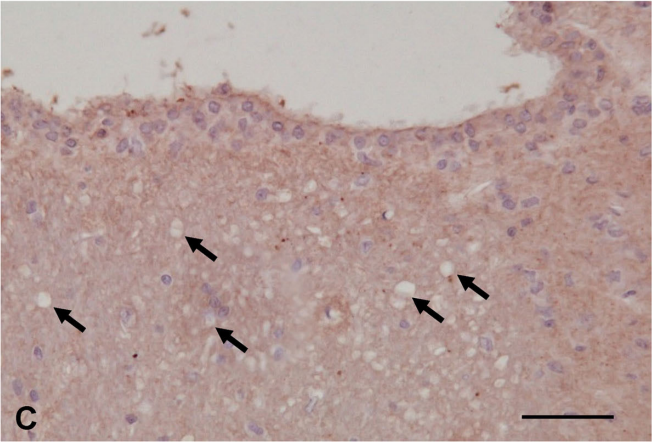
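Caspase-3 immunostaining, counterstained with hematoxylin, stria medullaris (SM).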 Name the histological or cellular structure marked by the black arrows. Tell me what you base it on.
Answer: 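The arrows point to round clear empty spaces in the tissue. Many similar small clear holes are scattered through the neuropil.
Hence: vacuoles.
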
